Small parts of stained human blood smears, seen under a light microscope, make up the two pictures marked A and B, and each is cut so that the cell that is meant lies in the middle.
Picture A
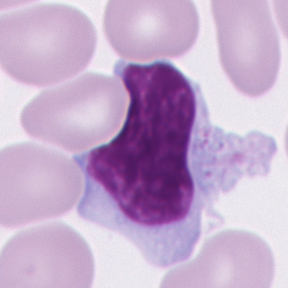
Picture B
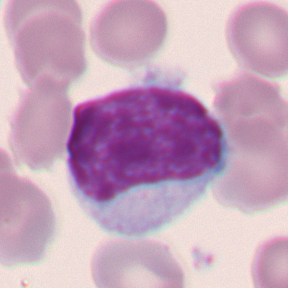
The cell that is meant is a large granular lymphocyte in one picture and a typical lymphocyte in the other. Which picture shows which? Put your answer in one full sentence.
Picture A shows a large granular lymphocyte and picture B shows a typical lymphocyte.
